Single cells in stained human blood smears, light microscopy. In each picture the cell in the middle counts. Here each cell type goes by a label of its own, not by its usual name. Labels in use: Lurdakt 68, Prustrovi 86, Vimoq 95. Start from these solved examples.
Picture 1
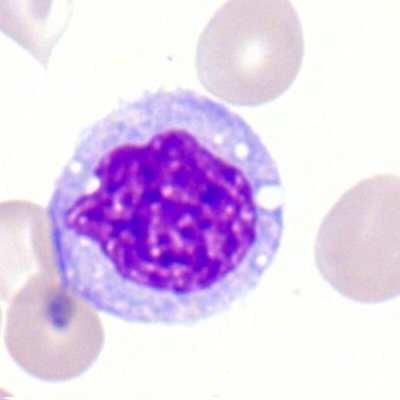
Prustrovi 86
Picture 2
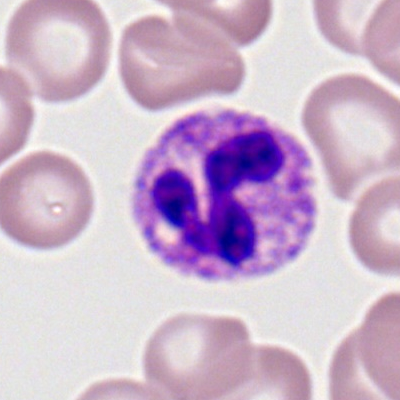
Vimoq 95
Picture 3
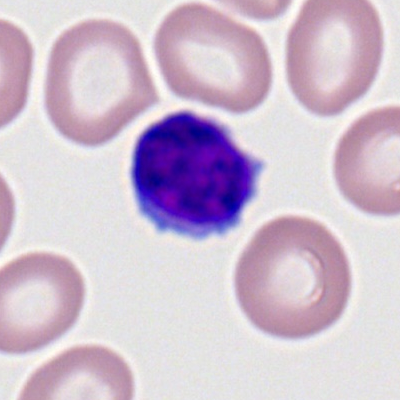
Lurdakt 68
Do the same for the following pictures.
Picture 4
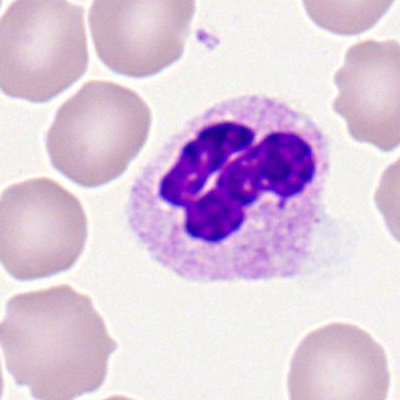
Vimoq 95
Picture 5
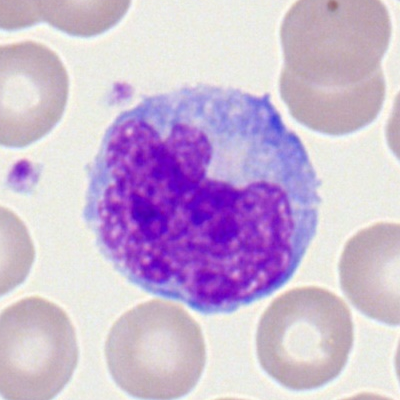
Prustrovi 86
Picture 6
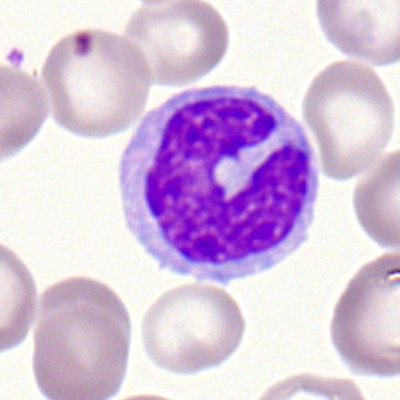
Prustrovi 86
